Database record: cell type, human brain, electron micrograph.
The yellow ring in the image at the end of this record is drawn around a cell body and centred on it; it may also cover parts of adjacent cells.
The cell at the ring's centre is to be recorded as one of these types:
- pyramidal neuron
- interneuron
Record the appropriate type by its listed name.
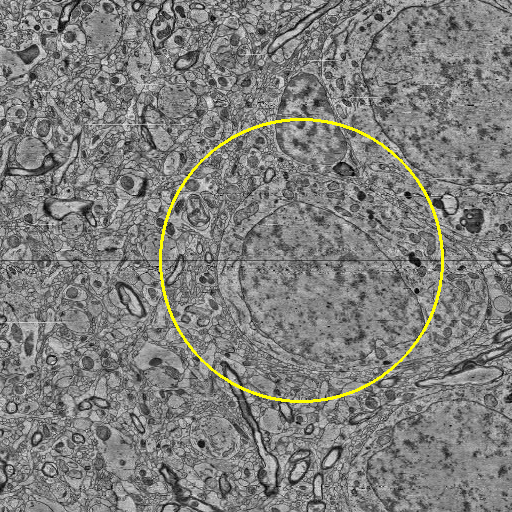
interneuron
